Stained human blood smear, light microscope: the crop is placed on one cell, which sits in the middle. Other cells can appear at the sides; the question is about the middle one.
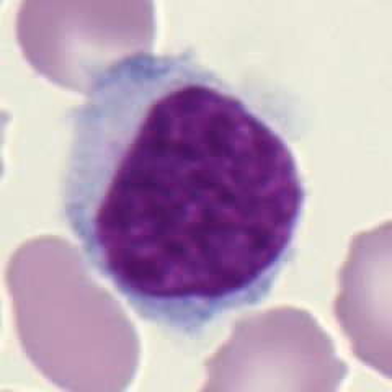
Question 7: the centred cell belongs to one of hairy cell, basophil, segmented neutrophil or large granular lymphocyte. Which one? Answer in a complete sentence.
At the crop's centre, the cell is a hairy cell.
